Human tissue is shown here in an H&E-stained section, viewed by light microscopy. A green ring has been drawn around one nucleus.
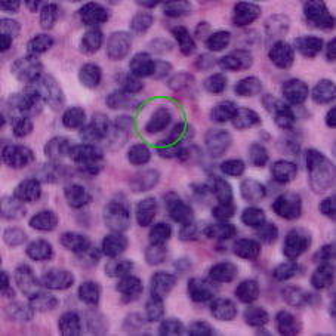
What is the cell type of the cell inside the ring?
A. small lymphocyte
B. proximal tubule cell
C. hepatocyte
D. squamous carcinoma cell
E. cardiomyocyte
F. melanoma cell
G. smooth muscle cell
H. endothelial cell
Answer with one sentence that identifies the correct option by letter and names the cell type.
The proper choice here is A: the cell inside the ring is a small lymphocyte.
